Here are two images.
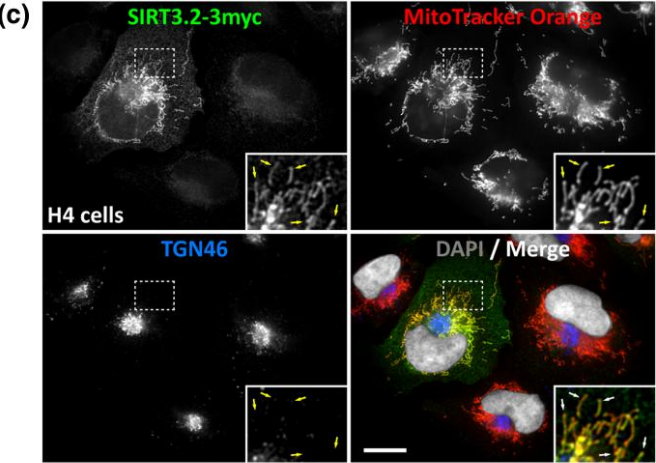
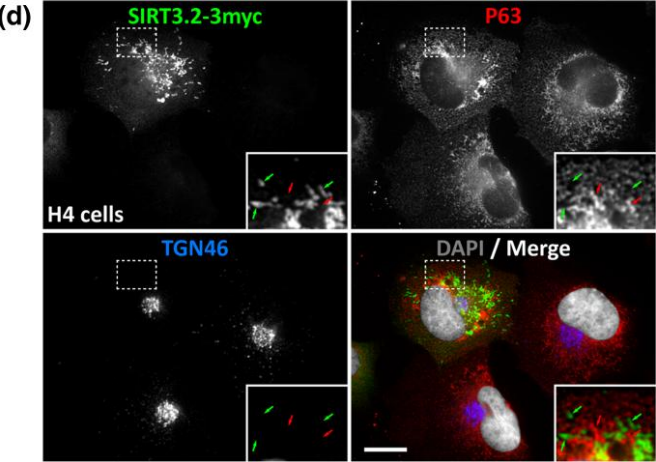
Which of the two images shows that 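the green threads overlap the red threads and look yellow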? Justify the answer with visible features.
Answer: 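The first image. Second image: the merge shows green rods and a red network side by side with little yellow. First image: the merge shows many yellow threads around the nucleus of the labelled cell.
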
